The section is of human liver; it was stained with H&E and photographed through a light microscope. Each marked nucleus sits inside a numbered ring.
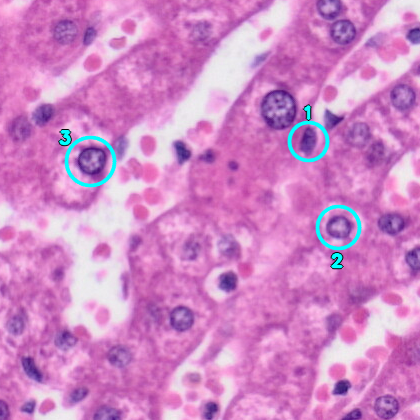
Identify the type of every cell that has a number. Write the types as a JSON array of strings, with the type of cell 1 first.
["fibroblast or stellate cell", "hepatocyte", "hepatocyte"]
